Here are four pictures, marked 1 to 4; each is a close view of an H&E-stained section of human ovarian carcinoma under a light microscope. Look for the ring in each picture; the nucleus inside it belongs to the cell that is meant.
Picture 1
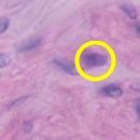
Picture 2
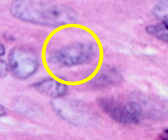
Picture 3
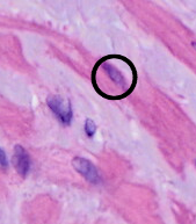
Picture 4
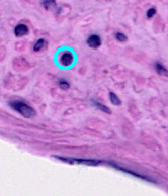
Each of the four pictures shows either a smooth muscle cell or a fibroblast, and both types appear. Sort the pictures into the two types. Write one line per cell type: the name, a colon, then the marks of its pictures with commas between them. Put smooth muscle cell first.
smooth muscle cell: 1, 3, 4
fibroblast: 2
